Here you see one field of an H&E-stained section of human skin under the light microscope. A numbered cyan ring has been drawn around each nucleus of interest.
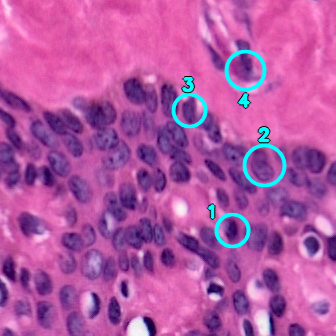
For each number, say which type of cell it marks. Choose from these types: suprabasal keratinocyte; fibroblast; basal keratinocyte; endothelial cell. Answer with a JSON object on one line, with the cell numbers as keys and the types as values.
{"1": "basal keratinocyte", "2": "basal keratinocyte", "3": "basal keratinocyte", "4": "endothelial cell"}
